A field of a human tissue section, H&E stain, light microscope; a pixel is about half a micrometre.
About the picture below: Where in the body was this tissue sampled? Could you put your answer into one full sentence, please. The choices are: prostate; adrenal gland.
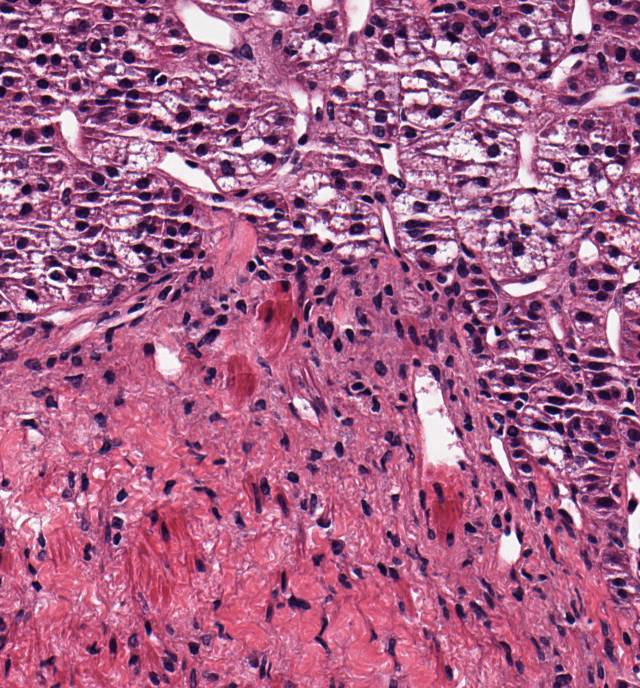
This piece of tissue was sampled from the adrenal gland.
